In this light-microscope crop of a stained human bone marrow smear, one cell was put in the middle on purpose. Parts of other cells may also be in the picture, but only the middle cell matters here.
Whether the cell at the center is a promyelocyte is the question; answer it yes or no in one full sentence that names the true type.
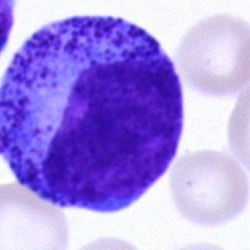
Yes, it is a promyelocyte that occupies the centre of the crop.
